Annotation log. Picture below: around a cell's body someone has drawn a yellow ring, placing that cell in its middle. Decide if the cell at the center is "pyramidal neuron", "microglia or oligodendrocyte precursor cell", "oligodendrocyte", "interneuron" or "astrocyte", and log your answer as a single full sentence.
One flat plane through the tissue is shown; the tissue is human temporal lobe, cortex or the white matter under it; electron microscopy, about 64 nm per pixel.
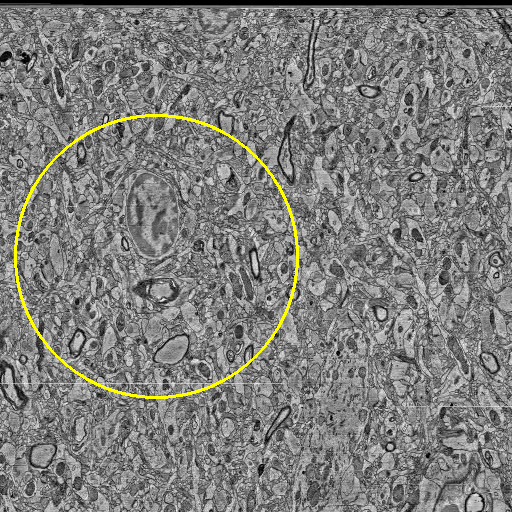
My entry records a microglial cell or oligodendrocyte precursor cell as the cell sitting at the center of the yellow ring.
